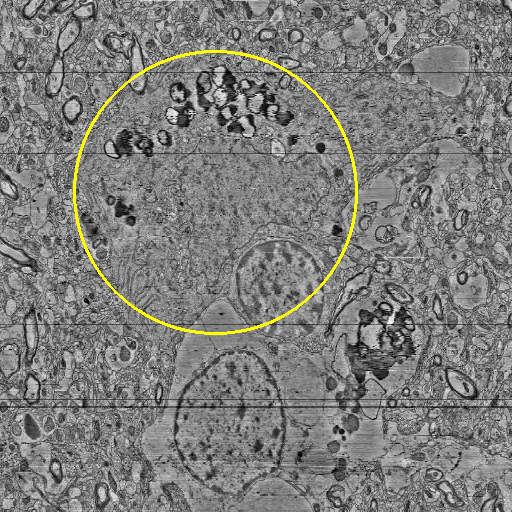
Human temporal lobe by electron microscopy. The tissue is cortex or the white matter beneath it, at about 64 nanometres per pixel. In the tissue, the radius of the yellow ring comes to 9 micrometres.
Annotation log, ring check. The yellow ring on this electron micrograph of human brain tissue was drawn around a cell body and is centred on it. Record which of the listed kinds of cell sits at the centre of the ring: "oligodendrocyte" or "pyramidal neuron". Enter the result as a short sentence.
The cell at the centre of the ring is a pyramidal neuron.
